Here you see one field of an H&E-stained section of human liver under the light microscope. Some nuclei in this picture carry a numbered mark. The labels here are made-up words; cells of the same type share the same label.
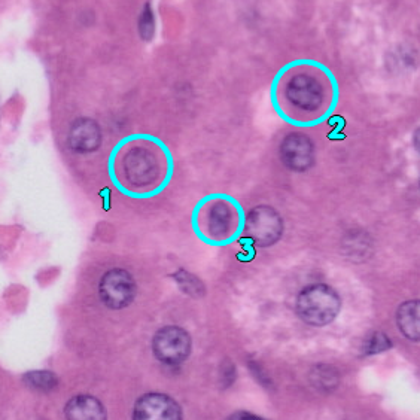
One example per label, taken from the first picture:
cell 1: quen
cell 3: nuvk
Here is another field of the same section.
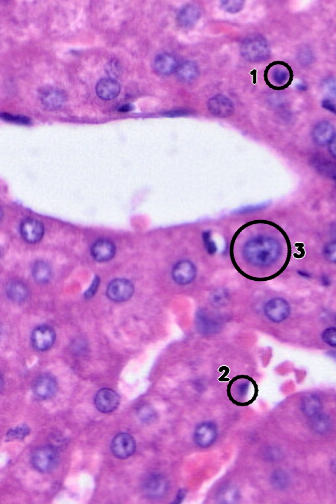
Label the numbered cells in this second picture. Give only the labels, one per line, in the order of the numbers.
nuvk
nuvk
quen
